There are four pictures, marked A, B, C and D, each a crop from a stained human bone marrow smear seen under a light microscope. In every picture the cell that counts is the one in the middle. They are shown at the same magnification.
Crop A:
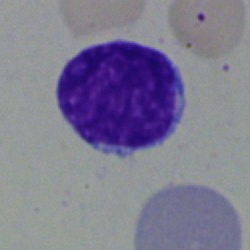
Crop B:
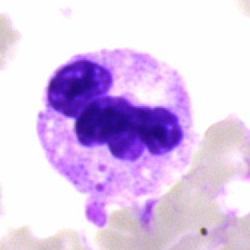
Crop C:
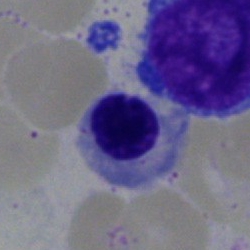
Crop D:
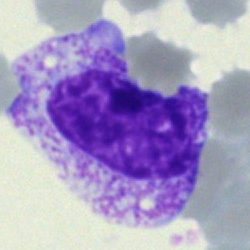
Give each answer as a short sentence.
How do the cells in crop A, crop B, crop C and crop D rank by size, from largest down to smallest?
Going down, they run B, A, C, D.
